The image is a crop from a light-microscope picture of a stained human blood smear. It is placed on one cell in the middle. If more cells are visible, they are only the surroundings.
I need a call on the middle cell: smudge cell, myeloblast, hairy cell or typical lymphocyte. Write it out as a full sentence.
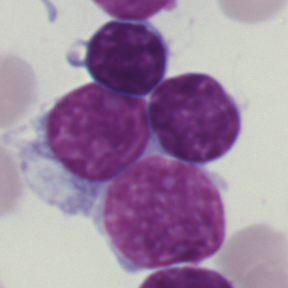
The cell in the exact centre of the crop is a myeloblast.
